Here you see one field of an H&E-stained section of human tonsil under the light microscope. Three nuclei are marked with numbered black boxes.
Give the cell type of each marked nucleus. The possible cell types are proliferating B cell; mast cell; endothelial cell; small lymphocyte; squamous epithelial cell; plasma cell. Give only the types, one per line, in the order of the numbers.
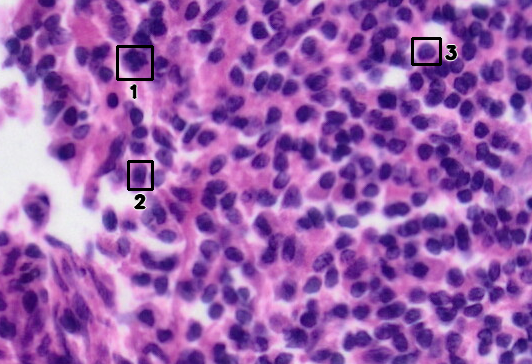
proliferating B cell
plasma cell
small lymphocyte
